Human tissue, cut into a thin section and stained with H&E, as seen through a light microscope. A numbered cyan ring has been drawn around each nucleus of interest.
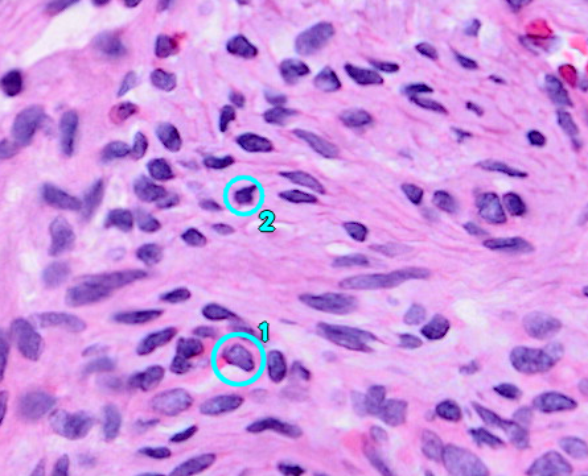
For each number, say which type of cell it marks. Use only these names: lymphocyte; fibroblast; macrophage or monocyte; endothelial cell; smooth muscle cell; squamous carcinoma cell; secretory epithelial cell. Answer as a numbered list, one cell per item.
1. endothelial cell
2. fibroblast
